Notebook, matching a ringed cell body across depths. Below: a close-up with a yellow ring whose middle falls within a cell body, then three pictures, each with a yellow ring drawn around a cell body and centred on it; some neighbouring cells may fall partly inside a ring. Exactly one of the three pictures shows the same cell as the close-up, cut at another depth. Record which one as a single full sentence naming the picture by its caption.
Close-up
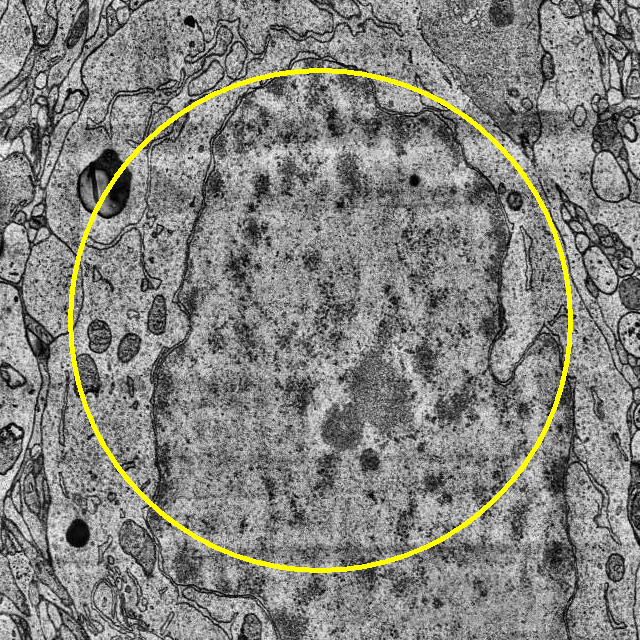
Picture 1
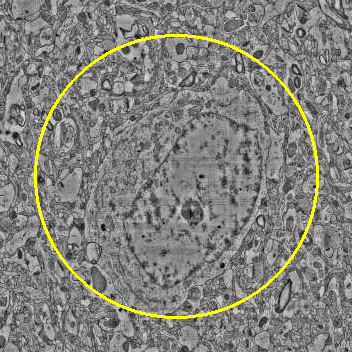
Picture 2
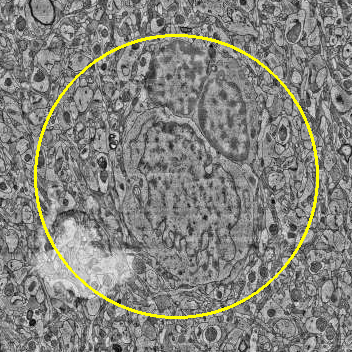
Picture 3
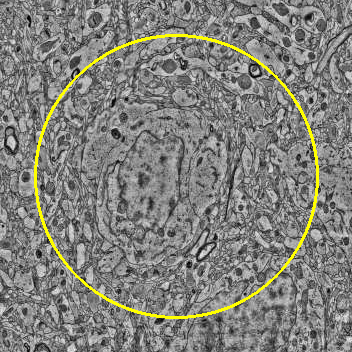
The cell ringed in Picture 2 is the one shown up close.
